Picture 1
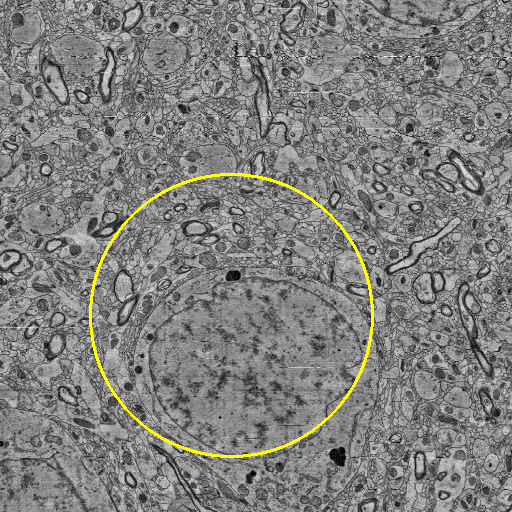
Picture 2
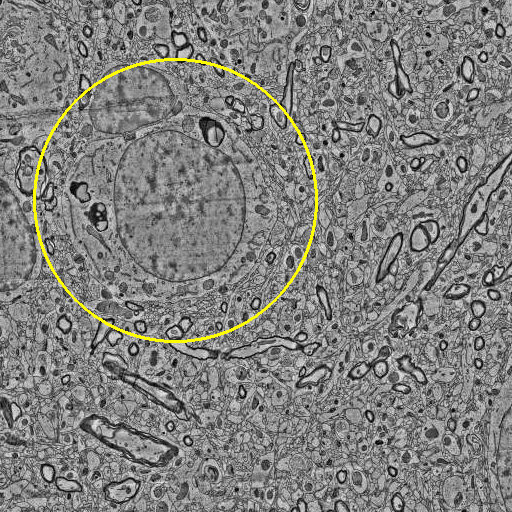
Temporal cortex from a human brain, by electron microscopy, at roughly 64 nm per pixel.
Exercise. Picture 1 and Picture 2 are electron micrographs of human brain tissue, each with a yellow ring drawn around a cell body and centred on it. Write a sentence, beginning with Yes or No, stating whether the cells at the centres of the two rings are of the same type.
Yes, the cells at the centres of both rings are of the same type.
